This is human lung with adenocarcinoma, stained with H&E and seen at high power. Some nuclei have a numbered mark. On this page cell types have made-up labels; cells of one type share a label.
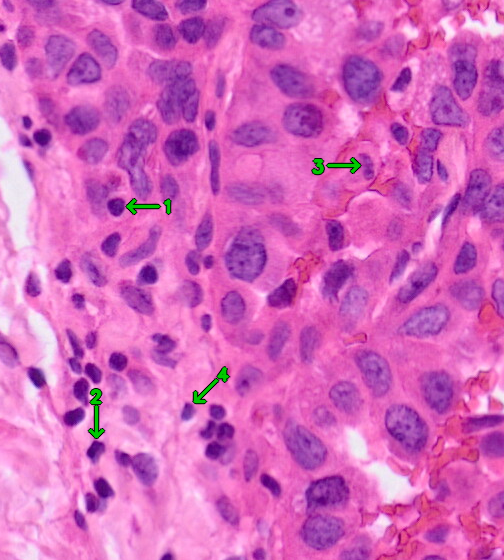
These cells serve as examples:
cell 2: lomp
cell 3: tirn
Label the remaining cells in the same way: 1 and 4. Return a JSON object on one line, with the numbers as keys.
{"1": "lomp", "4": "lomp"}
